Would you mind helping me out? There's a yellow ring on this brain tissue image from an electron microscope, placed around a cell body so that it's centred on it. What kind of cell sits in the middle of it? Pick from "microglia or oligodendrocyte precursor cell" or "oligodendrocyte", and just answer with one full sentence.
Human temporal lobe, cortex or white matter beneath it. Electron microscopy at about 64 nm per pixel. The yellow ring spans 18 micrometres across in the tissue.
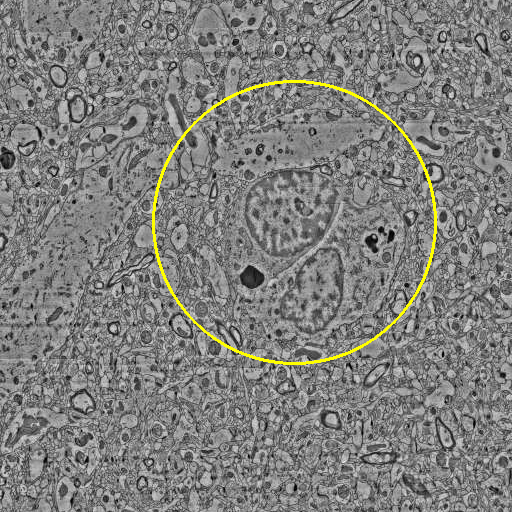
What sits in the middle of that yellow ring is an oligodendrocyte, from your choices.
